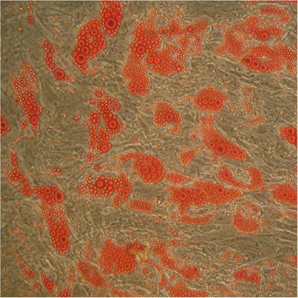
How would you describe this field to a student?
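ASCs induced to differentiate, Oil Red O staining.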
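Many cells are packed with round red droplets of differing size, grouped in clusters that fill the cell body. Between these clusters lie unstained, spindle-shaped cells forming a dense background layer.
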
